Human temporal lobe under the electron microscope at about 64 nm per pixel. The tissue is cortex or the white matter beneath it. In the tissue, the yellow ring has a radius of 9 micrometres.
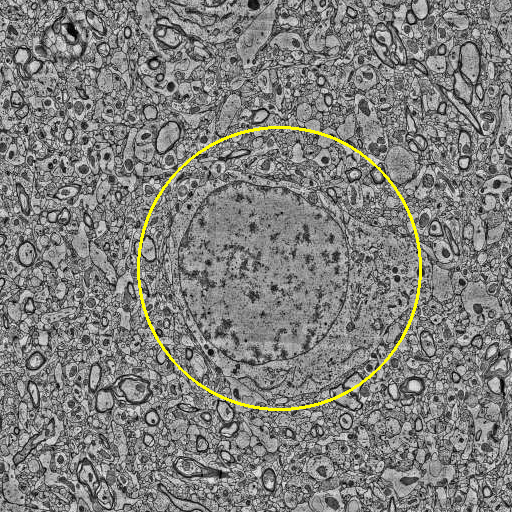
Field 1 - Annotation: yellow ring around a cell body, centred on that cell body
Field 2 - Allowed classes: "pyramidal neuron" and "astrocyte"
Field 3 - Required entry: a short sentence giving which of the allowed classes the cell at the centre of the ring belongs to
The centred cell is a pyramidal neuron.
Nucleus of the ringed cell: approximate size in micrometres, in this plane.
Roughly 11 micrometres across for the nucleus, in this plane.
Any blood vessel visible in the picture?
No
